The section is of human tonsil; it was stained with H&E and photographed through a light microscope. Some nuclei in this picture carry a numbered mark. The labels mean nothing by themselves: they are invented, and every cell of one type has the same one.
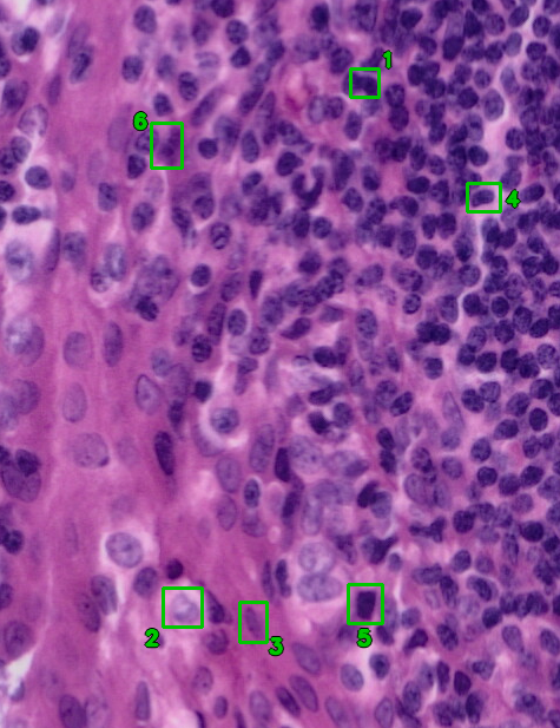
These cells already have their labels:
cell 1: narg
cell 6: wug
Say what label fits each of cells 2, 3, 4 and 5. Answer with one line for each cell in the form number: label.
2: wug
3: wug
4: narg
5: wug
